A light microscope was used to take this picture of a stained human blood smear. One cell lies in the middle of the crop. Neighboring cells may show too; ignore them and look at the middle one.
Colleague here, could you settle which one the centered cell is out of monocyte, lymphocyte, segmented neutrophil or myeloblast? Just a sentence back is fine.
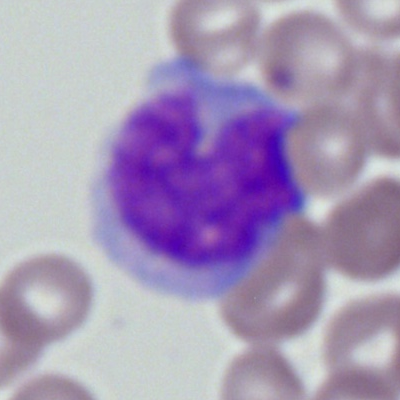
By classification, the middle cell of this crop is a monocyte.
